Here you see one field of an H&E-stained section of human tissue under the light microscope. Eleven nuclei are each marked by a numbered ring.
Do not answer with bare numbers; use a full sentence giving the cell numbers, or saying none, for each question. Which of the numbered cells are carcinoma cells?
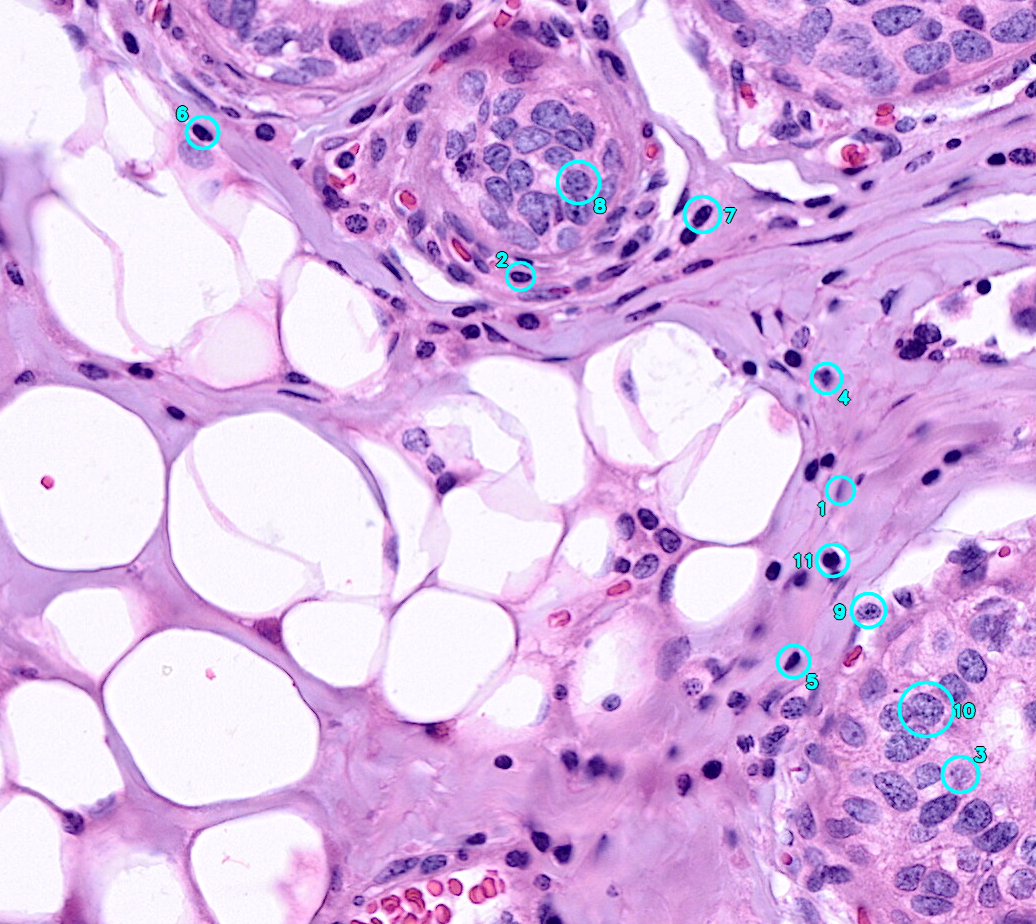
Within this tissue, the cells numbered 3, 8 and 10 are carcinoma cells.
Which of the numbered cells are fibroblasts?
A single numbered cell, cell 1, is a fibroblast.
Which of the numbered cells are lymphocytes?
The cells to which the numbers 4, 5, 6, 7 and 11 refer are lymphocytes.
